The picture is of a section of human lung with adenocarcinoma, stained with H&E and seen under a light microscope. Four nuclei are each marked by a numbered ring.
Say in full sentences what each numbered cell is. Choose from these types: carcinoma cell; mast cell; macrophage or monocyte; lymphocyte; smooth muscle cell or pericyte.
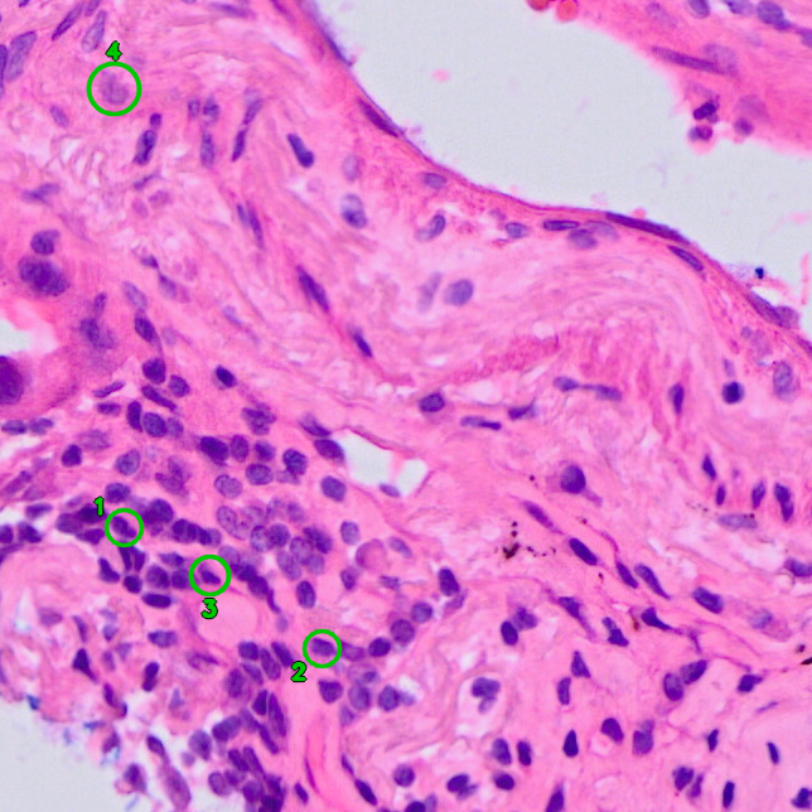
Cell 1 is a lymphocyte, cell 2 is a lymphocyte, cell 3 is a lymphocyte and cell 4 is a smooth muscle cell or pericyte.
